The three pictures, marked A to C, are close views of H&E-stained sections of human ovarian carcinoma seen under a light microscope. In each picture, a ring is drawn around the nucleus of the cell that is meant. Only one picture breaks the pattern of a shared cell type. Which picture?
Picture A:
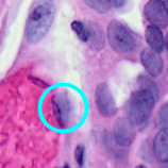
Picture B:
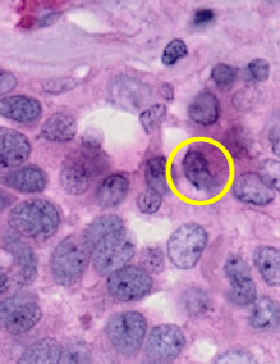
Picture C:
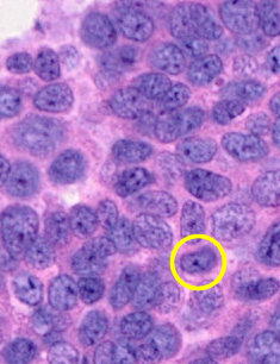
A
